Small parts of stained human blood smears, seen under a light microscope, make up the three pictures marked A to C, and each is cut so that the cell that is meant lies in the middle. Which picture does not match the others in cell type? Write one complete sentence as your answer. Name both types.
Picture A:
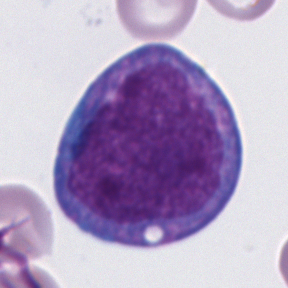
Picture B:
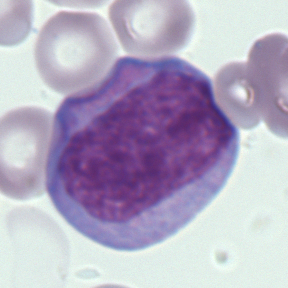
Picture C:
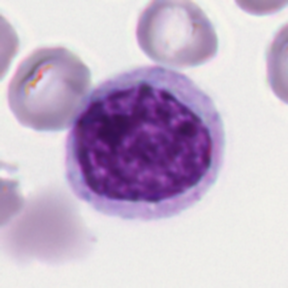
Picture C is the odd one out: it shows a myelocyte, while the others show promyelocytes.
